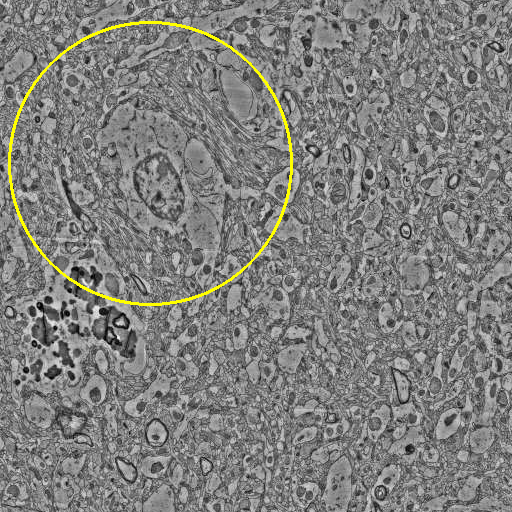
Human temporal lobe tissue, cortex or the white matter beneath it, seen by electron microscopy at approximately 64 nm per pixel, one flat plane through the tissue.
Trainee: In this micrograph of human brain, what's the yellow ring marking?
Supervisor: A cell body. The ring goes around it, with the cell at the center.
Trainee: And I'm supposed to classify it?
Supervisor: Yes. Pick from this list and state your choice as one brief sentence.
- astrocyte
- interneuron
The cell at the ring's center is an astrocyte.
